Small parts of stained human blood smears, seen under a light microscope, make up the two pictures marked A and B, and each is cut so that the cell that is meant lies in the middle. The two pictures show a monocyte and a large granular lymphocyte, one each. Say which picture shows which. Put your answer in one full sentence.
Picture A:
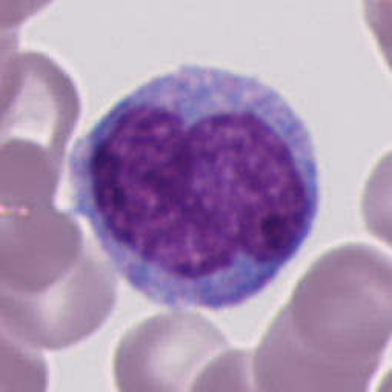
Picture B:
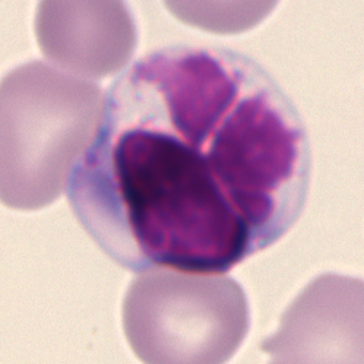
Picture A is of a monocyte, and picture B is of a large granular lymphocyte.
